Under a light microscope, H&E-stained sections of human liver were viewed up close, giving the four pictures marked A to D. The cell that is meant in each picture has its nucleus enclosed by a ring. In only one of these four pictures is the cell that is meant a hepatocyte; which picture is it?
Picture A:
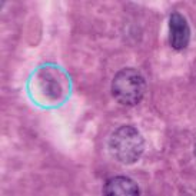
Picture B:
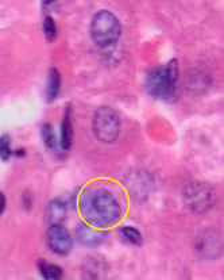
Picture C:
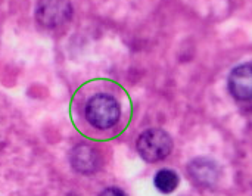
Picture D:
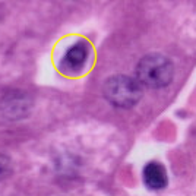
C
